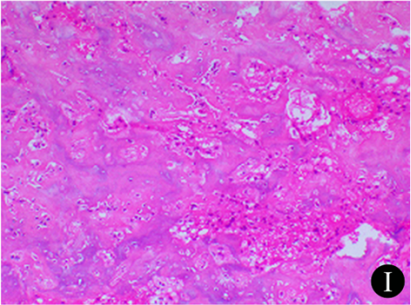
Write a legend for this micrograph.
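This hematoxylin and eosin section of a bone lesion shows an irregular, interlacing network of pink matrix with scattered cells. Small cells with round to oval purple nuclei are scattered along the edges of the matrix and within it. Between the matrix islands lies a looser, paler stroma containing further small cells. A few clear spaces are present, most notably toward the lower right of the field.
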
